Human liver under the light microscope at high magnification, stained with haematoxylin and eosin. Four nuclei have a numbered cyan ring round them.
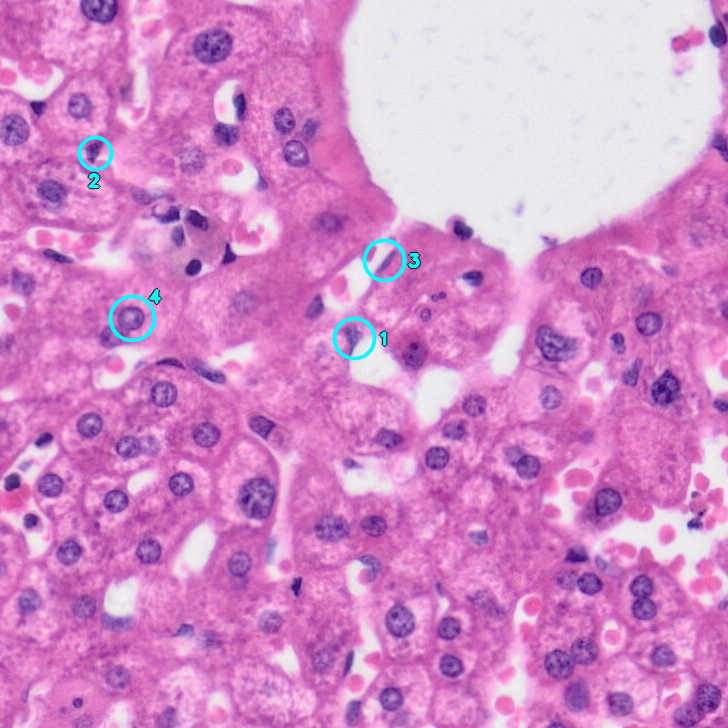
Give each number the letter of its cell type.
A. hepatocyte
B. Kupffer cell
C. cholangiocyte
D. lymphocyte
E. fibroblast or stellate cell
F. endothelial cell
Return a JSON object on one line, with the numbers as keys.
{"1": "E", "2": "F", "3": "F", "4": "A"}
